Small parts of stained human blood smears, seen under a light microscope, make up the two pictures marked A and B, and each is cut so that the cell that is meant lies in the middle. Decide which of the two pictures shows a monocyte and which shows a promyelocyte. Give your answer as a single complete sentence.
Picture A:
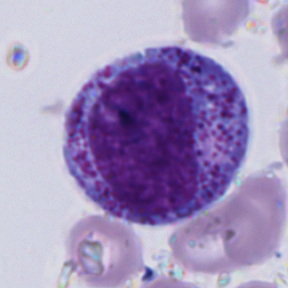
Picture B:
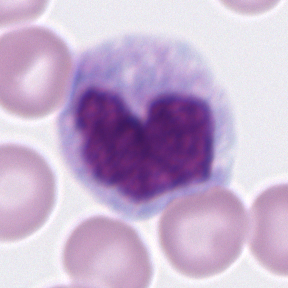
Picture A is of a promyelocyte, and picture B is of a monocyte.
